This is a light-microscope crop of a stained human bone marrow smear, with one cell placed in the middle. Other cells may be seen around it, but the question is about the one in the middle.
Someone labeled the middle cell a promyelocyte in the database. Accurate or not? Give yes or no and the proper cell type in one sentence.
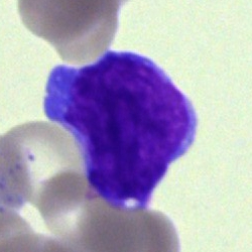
No, sorry, the middle cell is a blast rather than a promyelocyte.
